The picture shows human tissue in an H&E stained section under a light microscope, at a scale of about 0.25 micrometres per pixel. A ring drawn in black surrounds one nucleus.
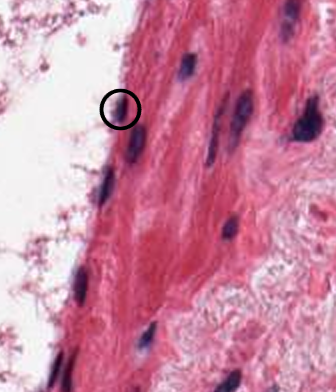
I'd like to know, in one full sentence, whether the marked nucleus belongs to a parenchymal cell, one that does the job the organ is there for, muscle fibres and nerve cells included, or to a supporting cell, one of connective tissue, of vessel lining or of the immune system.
A supporting cell is the cell whose nucleus is marked.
